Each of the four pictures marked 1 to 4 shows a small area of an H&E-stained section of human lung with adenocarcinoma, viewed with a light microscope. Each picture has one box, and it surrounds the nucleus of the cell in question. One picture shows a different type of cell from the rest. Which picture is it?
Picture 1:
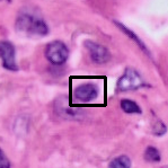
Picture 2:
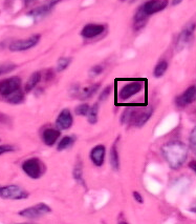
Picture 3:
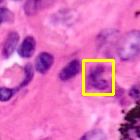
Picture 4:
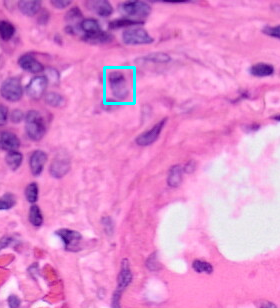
1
